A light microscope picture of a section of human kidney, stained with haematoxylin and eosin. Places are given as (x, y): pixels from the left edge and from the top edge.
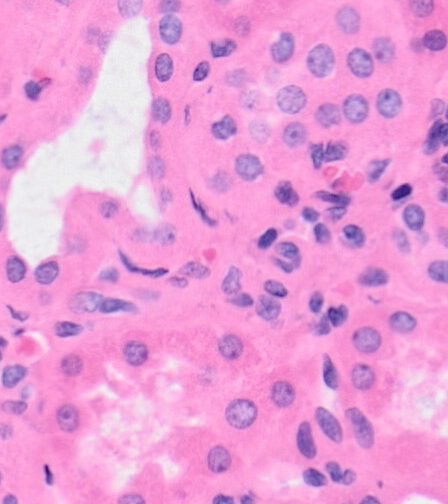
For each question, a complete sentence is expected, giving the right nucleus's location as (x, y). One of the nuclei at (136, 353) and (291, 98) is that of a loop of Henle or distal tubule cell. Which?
Among the two nuclei, the one found at (291, 98) belongs to a loop of Henle or distal tubule cell.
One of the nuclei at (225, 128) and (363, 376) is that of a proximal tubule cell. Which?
The nucleus of a proximal tubule cell lies at (363, 376), not at the other position.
